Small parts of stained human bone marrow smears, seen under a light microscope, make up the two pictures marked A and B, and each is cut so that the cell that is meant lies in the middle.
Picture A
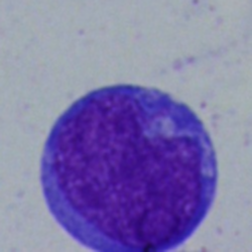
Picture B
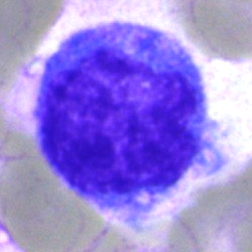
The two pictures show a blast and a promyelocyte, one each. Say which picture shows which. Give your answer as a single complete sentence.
Picture A shows a blast and picture B shows a promyelocyte.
